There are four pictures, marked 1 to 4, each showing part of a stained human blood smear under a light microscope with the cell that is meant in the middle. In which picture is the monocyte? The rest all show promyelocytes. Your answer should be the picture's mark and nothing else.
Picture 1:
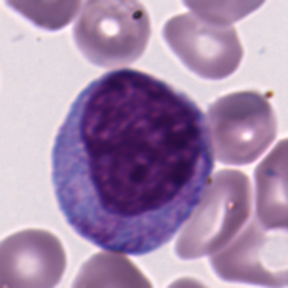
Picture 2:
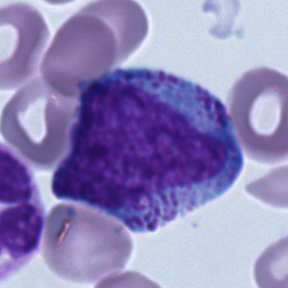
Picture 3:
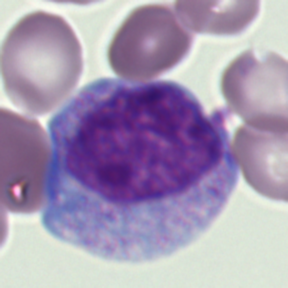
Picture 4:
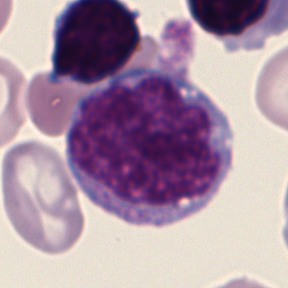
4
